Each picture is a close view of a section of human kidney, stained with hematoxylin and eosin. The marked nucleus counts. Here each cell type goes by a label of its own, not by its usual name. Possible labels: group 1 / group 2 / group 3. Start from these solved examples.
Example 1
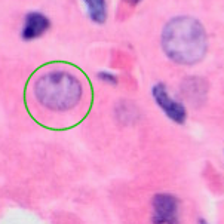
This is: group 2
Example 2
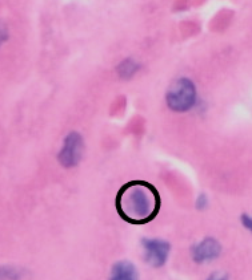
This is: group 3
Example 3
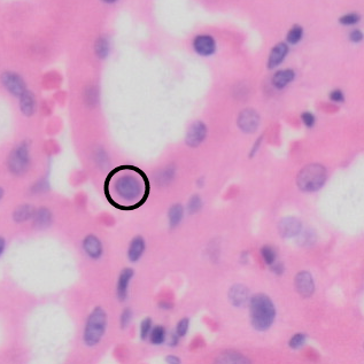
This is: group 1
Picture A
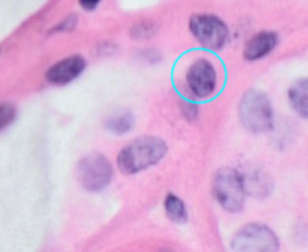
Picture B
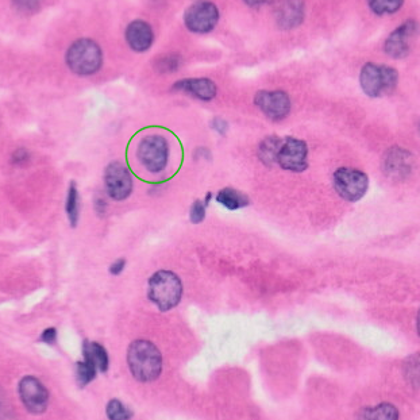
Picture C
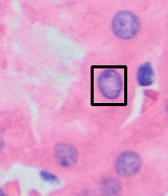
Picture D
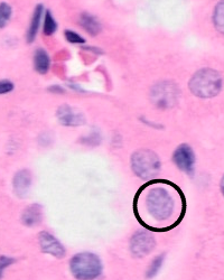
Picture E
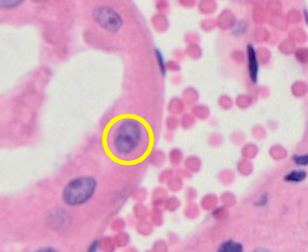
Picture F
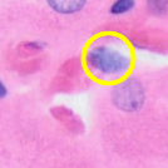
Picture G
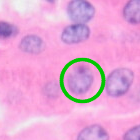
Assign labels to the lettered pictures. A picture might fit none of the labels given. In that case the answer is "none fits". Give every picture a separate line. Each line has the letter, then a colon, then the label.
A: group 1
B: group 1
C: group 2
D: group 3
E: group 2
F: none fits
G: group 2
